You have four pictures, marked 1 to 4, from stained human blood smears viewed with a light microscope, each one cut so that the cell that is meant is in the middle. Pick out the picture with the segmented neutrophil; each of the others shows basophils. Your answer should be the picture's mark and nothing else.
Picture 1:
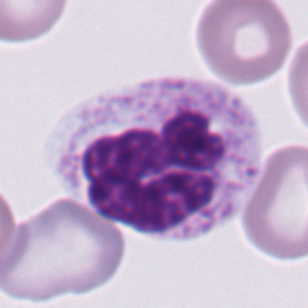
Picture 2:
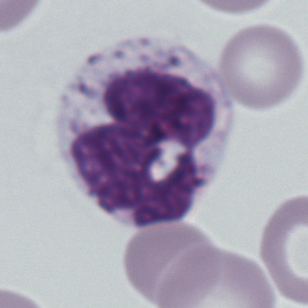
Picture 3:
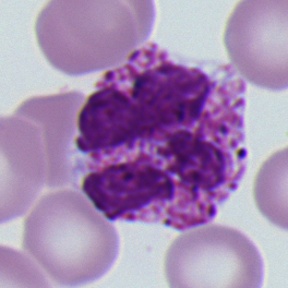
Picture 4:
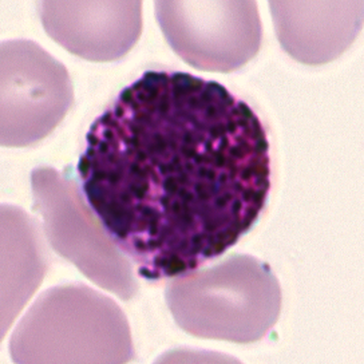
1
